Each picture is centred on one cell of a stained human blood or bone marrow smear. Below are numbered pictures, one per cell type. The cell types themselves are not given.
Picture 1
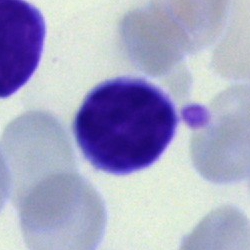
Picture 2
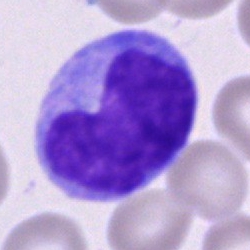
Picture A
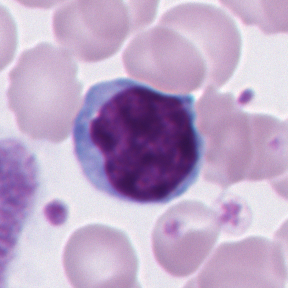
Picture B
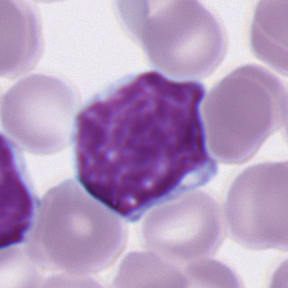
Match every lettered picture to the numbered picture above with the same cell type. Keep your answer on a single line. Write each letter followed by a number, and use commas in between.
A 1, B 1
